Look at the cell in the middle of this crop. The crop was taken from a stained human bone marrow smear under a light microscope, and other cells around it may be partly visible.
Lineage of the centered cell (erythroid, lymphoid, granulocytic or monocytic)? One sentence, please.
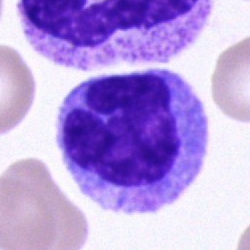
The cell situated centrally in the crop is of the monocytic lineage.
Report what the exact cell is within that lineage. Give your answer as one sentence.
The crop shows a monocyte in its centre.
